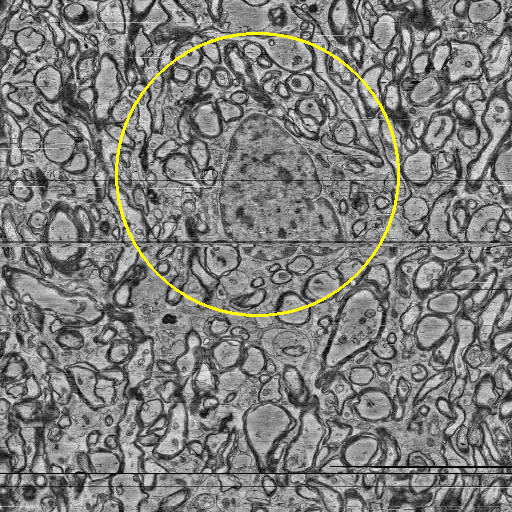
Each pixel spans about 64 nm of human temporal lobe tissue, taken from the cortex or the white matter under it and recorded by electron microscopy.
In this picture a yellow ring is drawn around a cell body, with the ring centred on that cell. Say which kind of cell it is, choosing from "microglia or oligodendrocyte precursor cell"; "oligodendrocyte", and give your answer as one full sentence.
Here it is a microglial cell or oligodendrocyte precursor cell that sits at the centre of the drawn yellow ring.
